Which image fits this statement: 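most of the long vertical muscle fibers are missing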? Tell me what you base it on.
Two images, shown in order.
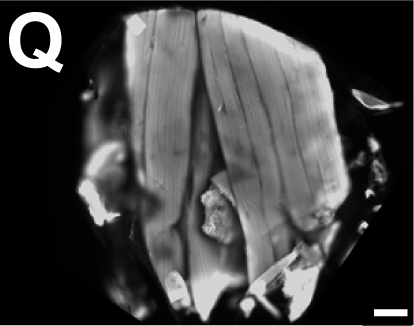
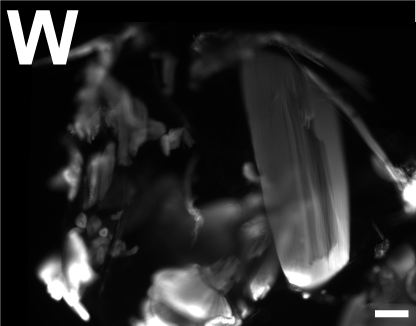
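Second image: only one intact long fiber bundle remains amid scattered fragments. First image: several long fiber bundles lie side by side filling the field. On this evidence: the second image.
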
